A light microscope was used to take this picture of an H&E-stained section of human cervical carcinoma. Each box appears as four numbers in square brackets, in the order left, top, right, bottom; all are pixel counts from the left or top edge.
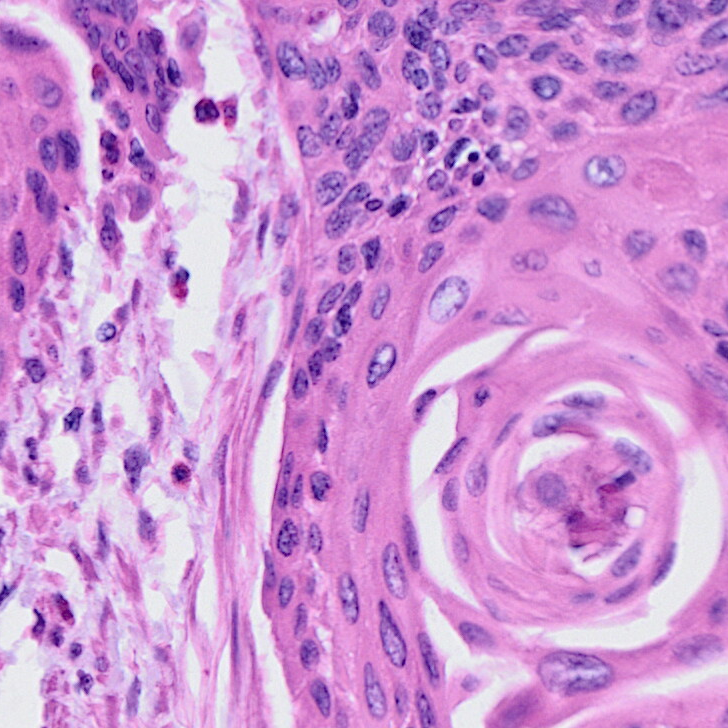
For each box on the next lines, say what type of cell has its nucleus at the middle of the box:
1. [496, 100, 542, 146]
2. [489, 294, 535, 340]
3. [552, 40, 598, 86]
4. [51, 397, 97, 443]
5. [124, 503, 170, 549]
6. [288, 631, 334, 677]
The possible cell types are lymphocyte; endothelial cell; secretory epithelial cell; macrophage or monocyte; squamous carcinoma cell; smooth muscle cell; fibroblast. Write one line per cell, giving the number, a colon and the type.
1: squamous carcinoma cell
2: squamous carcinoma cell
3: squamous carcinoma cell
4: lymphocyte
5: fibroblast
6: squamous carcinoma cell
